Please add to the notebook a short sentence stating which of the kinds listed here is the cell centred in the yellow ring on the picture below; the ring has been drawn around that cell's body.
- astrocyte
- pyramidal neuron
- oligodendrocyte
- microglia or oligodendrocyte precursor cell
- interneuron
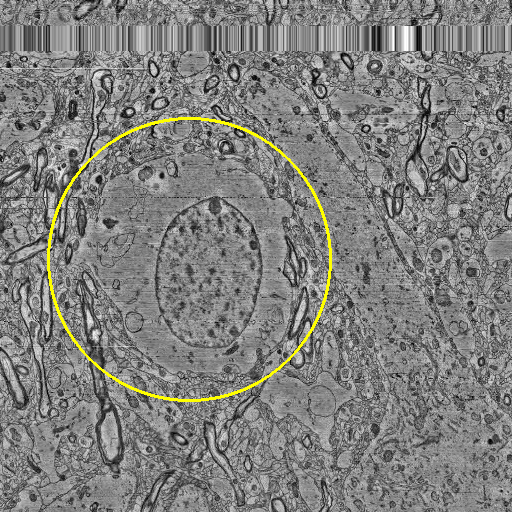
The cell centred in the yellow ring is an astrocyte.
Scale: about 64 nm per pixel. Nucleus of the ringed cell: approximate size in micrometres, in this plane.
The nucleus comes to roughly 10 by 7 micrometres in this plane.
